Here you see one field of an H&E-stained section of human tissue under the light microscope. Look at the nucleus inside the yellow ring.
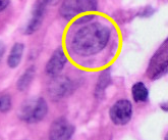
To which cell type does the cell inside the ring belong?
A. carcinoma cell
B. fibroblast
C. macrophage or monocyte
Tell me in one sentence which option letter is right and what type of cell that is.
Option A is right, and the cell inside the ring is a carcinoma cell.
